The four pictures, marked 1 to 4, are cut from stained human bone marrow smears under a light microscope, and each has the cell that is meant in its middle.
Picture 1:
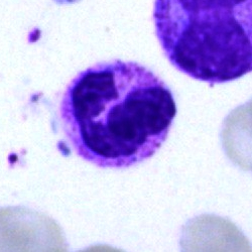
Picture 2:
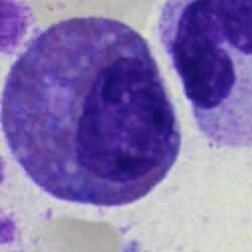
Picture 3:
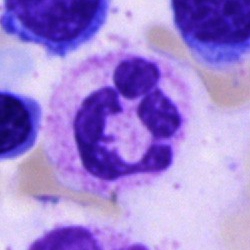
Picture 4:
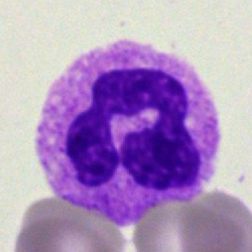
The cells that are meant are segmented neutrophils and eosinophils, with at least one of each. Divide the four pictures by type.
1: segmented neutrophil
2: eosinophil
3: segmented neutrophil
4: segmented neutrophil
